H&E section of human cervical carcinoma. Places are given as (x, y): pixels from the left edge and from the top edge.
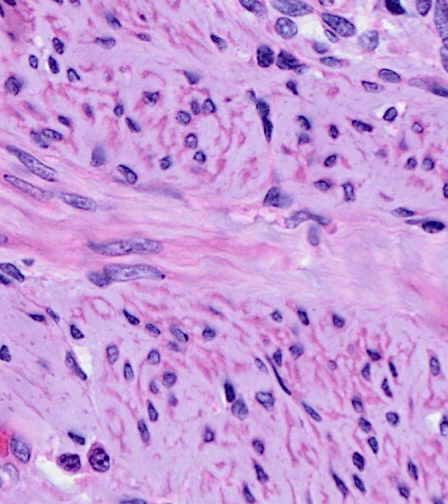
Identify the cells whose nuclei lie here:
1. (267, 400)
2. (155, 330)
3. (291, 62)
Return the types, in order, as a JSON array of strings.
["smooth muscle cell", "smooth muscle cell", "lymphocyte"]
